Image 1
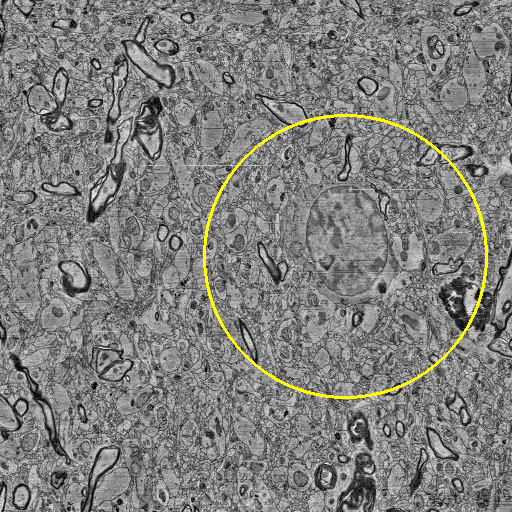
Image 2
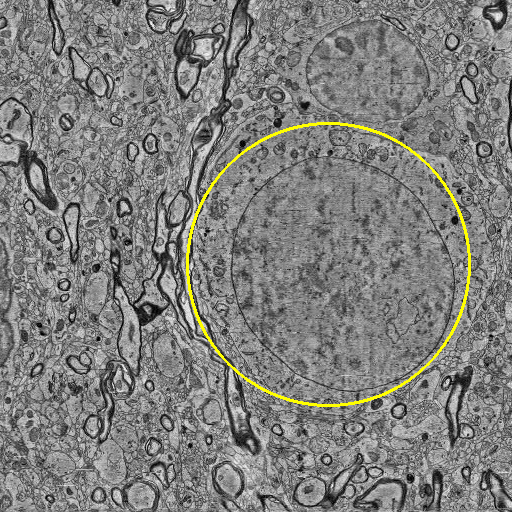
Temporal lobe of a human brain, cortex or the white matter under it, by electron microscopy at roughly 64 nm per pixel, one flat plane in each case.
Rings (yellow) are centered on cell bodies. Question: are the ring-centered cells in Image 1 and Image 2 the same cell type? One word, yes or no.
no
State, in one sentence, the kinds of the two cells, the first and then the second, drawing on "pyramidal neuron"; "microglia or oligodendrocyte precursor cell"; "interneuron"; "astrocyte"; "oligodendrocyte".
The ring in the second picture is centred on a pyramidal neuron, the ring in the first on an oligodendrocyte.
